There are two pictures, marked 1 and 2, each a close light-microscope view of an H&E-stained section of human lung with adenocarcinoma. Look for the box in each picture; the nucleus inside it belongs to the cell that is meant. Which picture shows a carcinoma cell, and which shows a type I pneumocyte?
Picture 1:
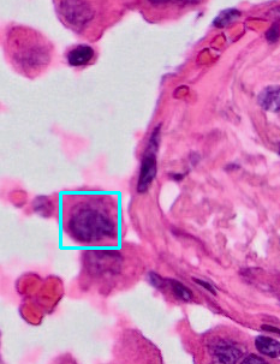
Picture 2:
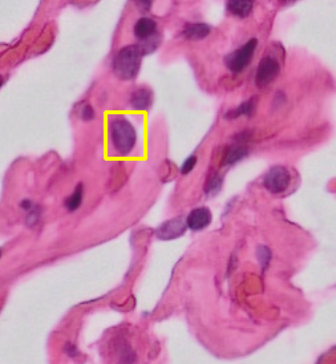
1: carcinoma cell
2: type I pneumocyte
